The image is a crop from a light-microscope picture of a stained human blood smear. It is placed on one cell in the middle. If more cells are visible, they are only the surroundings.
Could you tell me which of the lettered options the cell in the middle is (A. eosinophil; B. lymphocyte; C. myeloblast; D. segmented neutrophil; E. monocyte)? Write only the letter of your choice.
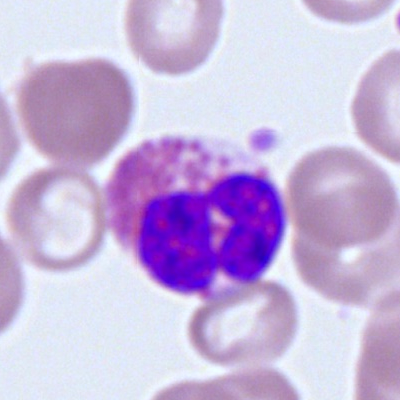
A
